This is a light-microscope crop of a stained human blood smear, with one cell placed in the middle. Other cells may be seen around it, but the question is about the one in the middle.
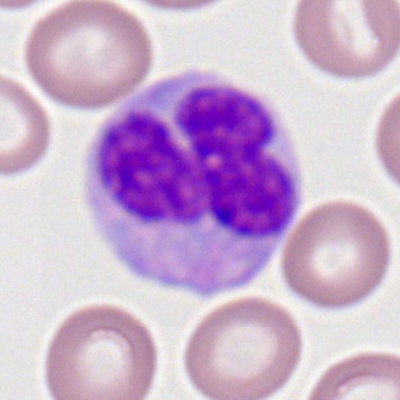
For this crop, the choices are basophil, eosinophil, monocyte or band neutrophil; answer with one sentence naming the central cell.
The cell found in the middle of this crop is a monocyte.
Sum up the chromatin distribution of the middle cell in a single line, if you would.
You can see that its chromatin is coarsely clumped.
